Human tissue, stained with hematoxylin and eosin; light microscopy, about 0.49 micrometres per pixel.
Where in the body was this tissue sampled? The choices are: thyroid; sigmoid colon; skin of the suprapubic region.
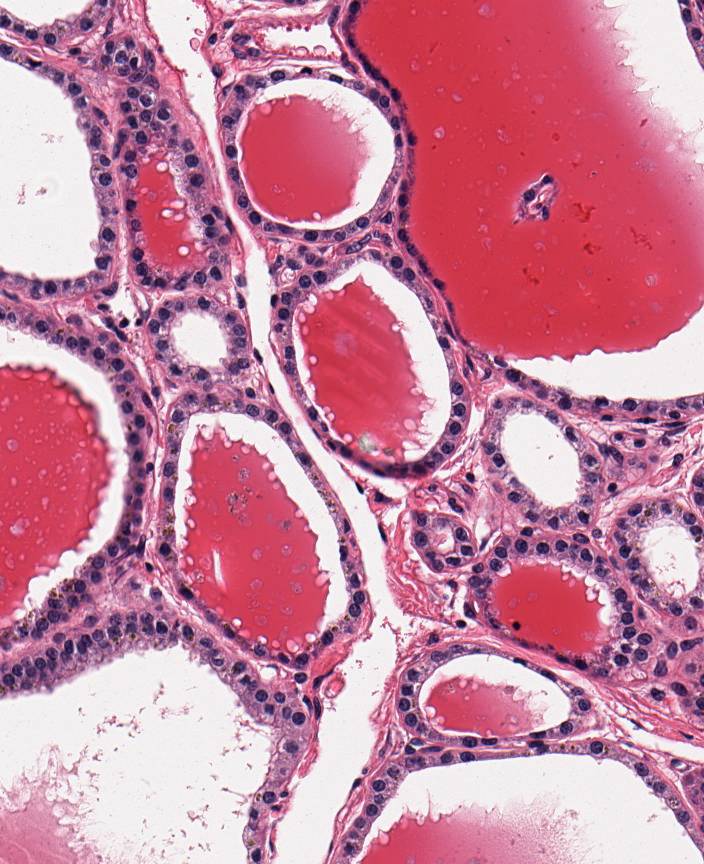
thyroid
